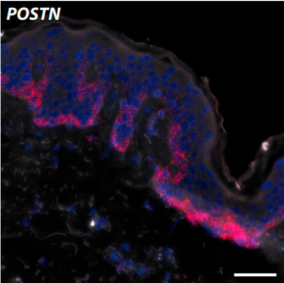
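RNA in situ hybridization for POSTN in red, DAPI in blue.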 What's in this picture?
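This is stratified squamous epidermis with its undulating border to the dermis; blue nuclei crowd the many cell layers. The red dots are concentrated in the lowest, basal rows of keratinocytes following the folds of the epidermal–dermal junction, while the upper layers are nearly free of them.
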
